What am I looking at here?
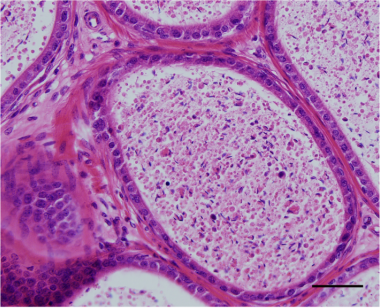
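This section of cauda epididymis shows large ducts lined by a thin epithelium of low cells with rounded purple nuclei, surrounded by a pink layer of smooth muscle and connective tissue. The duct lumen does not contain the usual dense, streaming bundles of sperm tails. Instead it is filled with loose, granular pale pink material and scattered small dark fragments, consistent with malformed spermatozoa and degenerated cell debris. Similar sparse debris is seen in the neighbouring ducts. The epithelial lining itself appears intact.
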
